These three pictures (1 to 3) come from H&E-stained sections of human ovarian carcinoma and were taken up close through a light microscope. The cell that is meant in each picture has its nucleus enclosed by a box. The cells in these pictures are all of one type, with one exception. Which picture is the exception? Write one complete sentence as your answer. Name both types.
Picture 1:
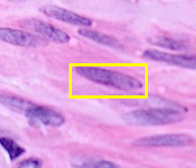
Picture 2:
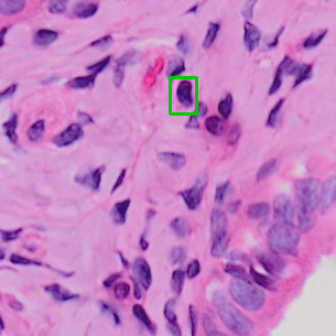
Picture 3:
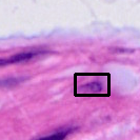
All pictures except 2 show smooth muscle cells; picture 2 shows a lymphocyte.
